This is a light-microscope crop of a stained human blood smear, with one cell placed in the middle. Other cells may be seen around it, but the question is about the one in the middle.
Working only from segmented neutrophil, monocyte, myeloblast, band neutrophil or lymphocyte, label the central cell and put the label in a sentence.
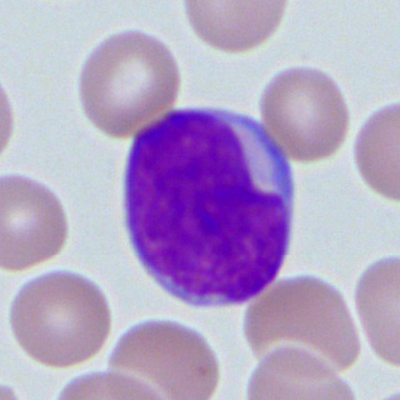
The centrally placed cell is classified as a myeloblast.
